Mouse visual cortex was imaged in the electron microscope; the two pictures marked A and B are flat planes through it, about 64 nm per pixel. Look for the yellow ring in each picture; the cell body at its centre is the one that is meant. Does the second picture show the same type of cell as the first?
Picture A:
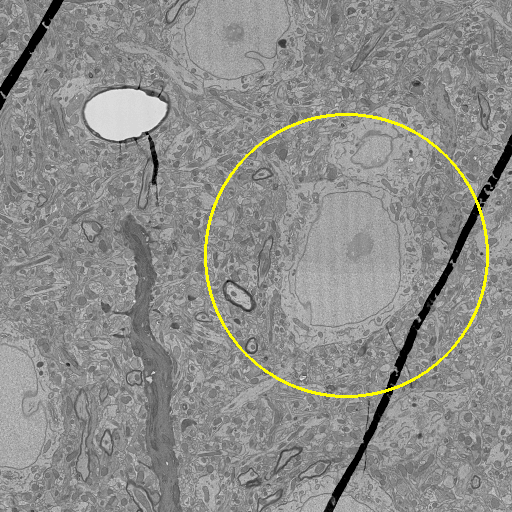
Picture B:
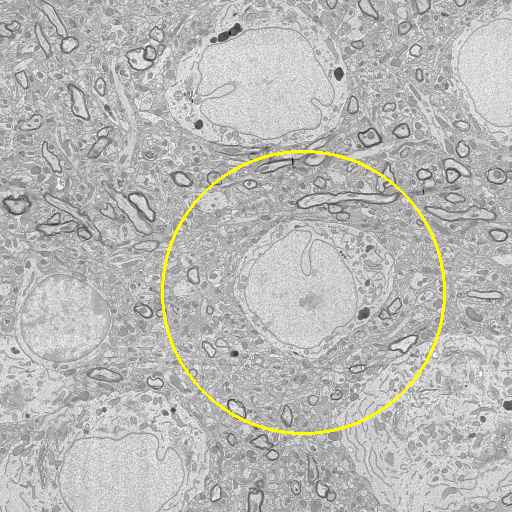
No, the types are not the same, since picture A shows an excitatory neuron and picture B an inhibitory neuron.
